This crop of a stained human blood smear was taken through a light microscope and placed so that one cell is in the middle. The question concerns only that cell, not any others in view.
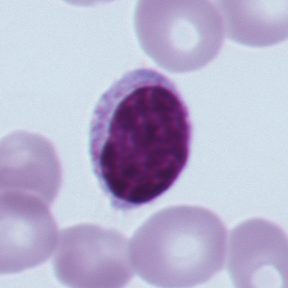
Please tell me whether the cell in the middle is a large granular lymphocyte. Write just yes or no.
yes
